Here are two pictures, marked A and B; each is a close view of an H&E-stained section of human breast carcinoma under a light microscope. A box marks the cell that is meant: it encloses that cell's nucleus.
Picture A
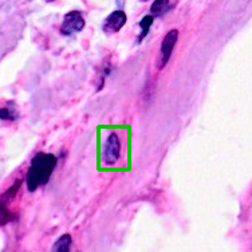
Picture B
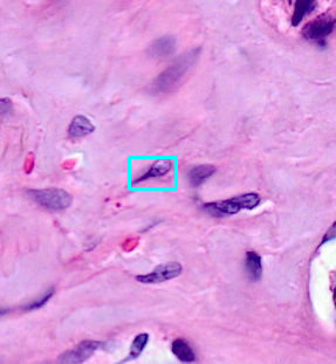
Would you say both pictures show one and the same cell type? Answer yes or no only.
no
